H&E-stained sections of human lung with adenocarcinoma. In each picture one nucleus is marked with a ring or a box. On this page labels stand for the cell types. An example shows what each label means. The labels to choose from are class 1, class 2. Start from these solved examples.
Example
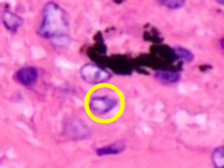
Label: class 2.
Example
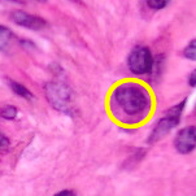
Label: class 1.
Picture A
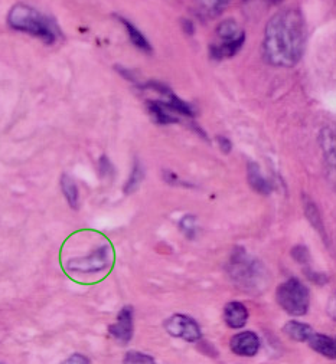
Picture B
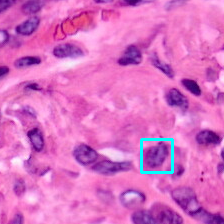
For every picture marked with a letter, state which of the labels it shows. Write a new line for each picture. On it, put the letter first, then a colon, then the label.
A: class 2.
B: class 1.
